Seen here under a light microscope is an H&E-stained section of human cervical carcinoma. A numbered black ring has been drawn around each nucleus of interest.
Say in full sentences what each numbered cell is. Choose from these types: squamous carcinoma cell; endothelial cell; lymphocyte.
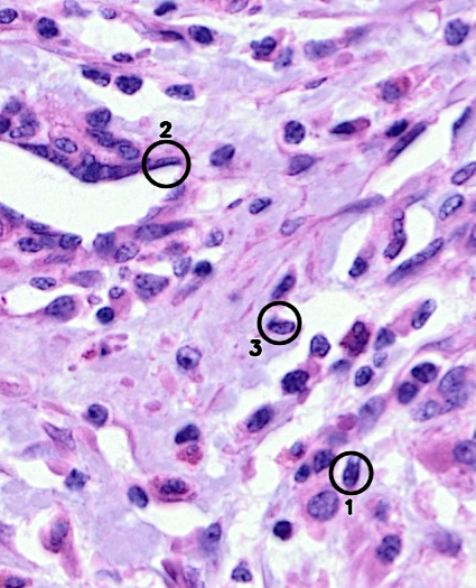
Cell 1 is a lymphocyte, cell 2 is an endothelial cell and cell 3 is a lymphocyte.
